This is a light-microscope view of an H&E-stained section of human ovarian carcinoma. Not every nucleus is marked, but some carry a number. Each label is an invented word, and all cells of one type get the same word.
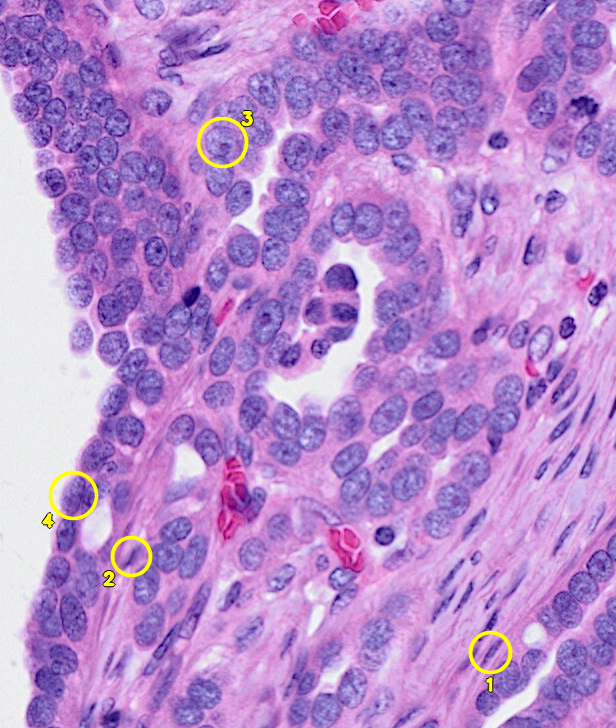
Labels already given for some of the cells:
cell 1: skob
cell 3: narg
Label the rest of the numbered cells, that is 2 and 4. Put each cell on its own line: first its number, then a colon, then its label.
2: skob
4: narg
